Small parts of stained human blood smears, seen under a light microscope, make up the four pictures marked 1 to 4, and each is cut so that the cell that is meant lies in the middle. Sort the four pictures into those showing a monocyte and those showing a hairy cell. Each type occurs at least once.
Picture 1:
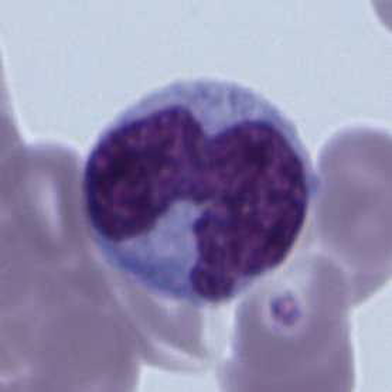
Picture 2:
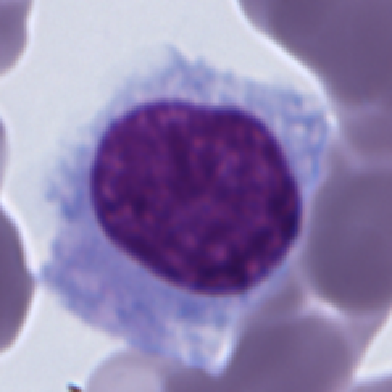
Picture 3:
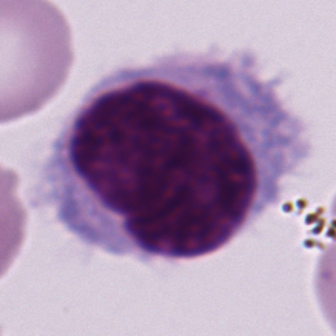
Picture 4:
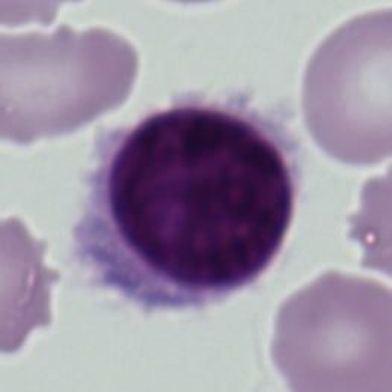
1: monocyte
2: hairy cell
3: hairy cell
4: hairy cell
